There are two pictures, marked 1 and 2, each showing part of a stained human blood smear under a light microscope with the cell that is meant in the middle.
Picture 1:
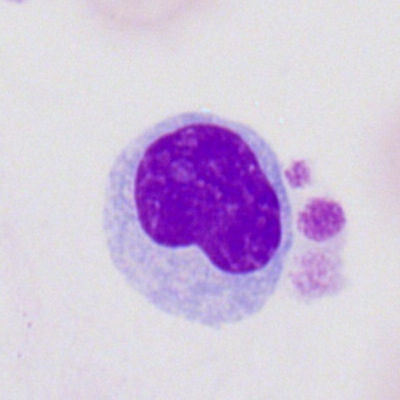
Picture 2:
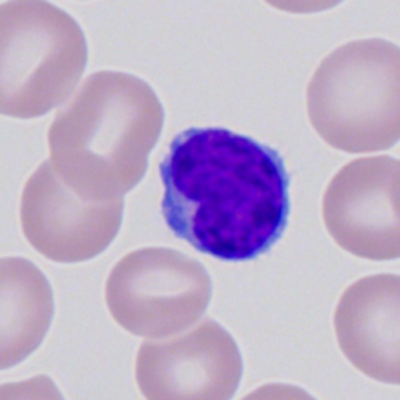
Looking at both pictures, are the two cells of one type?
yes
